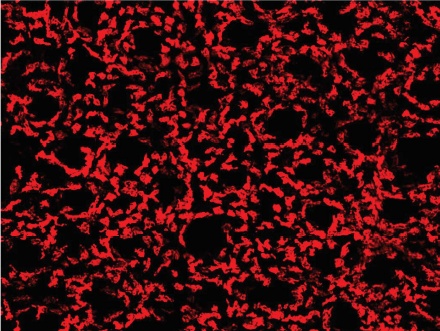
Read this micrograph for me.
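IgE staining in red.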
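A flat view of a dermal sheet in which many small, irregular red-stained cells form a dense lattice across the whole field. Round dark gaps free of red cells are spaced regularly through the lattice.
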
